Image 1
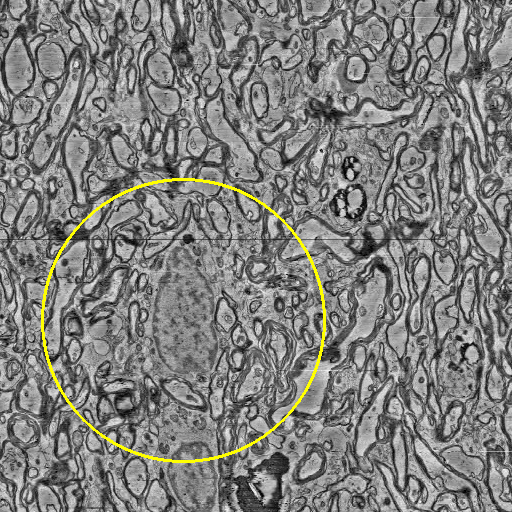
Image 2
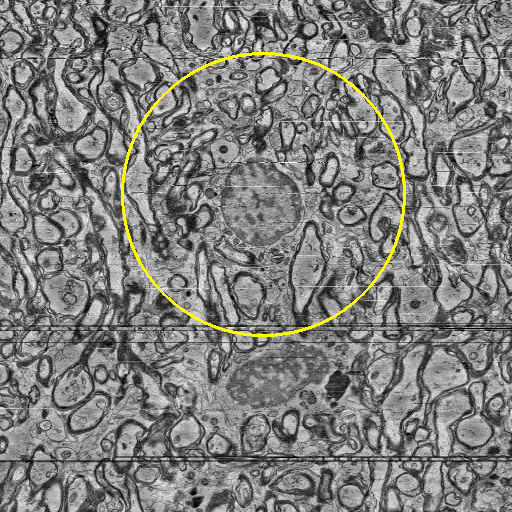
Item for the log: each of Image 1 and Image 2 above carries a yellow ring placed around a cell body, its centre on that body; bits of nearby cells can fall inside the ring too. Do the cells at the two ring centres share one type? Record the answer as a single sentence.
No, the two cells at the ring centres in Image 1 and Image 2 are of two types.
